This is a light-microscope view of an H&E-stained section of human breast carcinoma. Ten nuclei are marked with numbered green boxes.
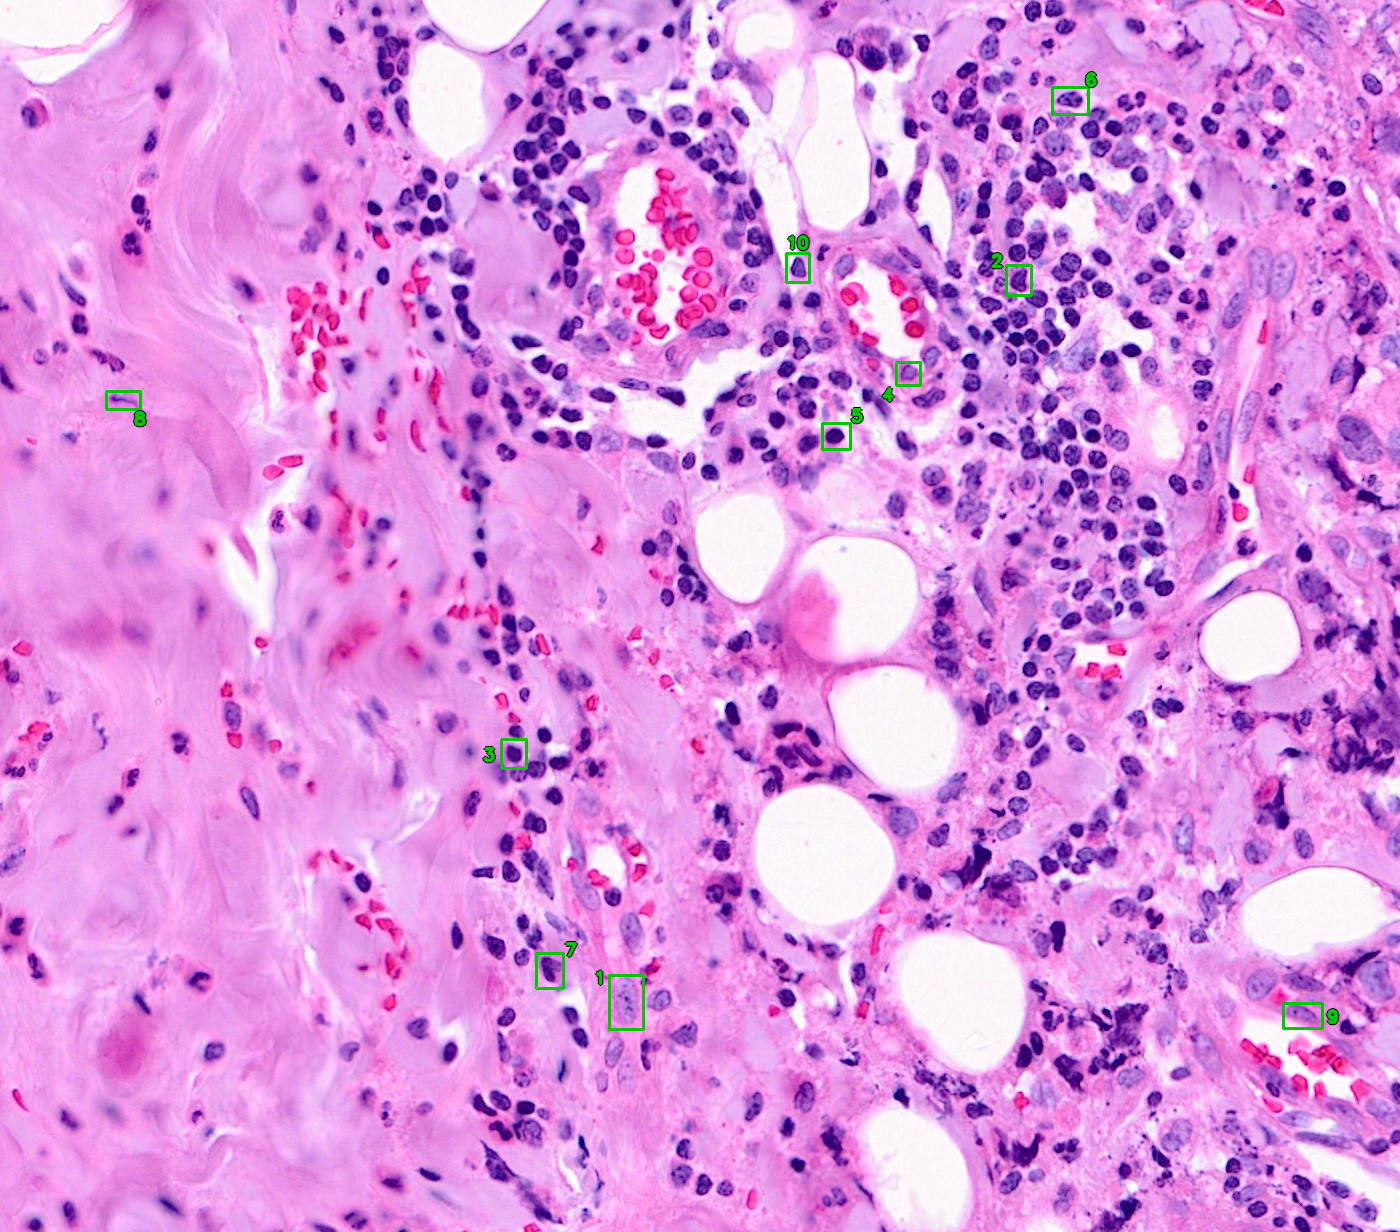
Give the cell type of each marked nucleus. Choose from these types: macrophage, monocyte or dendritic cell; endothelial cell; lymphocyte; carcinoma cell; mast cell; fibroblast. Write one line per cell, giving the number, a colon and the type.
1: endothelial cell
2: lymphocyte
3: lymphocyte
4: endothelial cell
5: lymphocyte
6: lymphocyte
7: lymphocyte
8: fibroblast
9: endothelial cell
10: lymphocyte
